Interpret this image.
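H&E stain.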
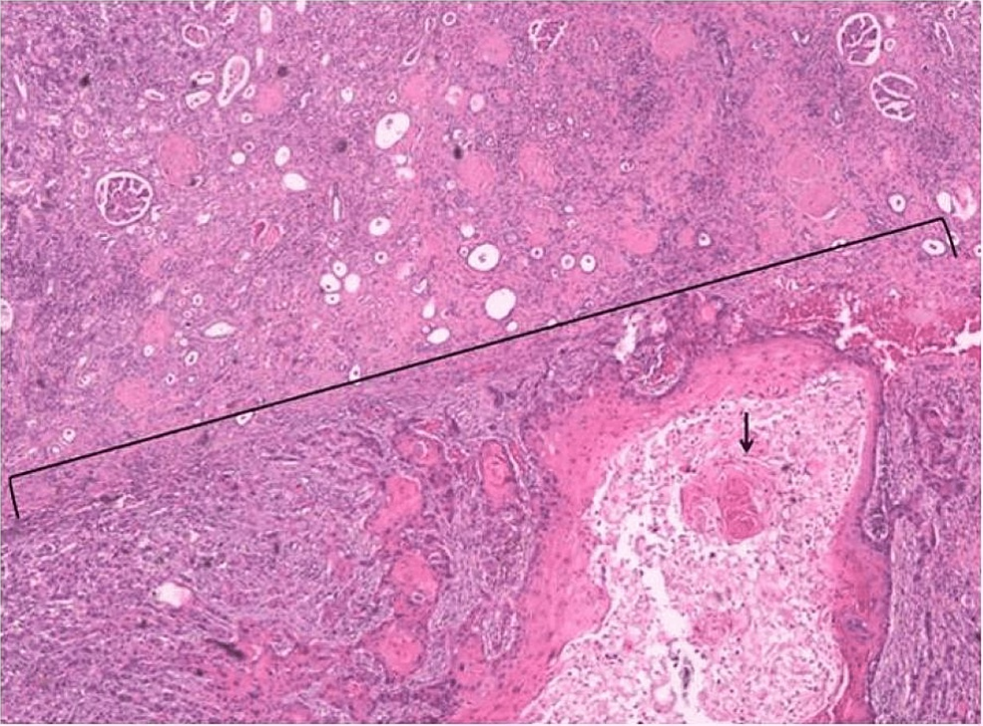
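The upper half shows kidney tissue with many small round tubules with open lumens and scattered rounded glomerular tufts, set in a crowded, purple-staining background. The lower half is replaced by solid sheets and nests of atypical epithelial cells, some with dense pink keratinized cytoplasm, including a broad pink-rimmed nest that holds a concentric, laminated pink whorl of keratin. This is a squamous cell carcinoma infiltrating the renal parenchyma, with keratin pearl formation.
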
